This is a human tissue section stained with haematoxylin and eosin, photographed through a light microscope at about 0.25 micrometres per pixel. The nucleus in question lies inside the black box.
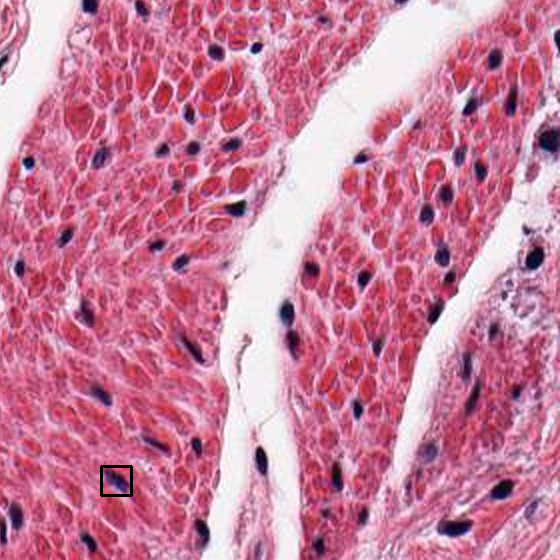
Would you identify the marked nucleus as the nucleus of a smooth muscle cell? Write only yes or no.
yes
